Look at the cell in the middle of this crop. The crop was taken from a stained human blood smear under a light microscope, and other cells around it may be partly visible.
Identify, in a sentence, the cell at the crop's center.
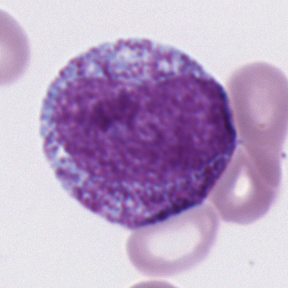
The cell shown in the center of this light-microscope crop is a myelocyte.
